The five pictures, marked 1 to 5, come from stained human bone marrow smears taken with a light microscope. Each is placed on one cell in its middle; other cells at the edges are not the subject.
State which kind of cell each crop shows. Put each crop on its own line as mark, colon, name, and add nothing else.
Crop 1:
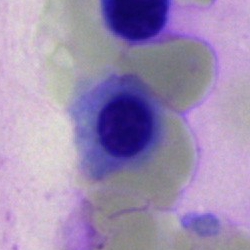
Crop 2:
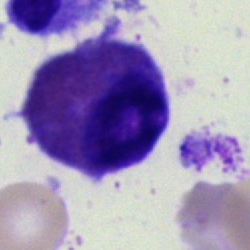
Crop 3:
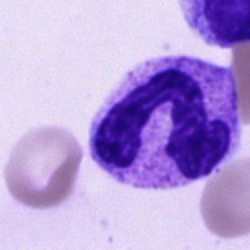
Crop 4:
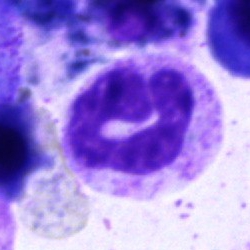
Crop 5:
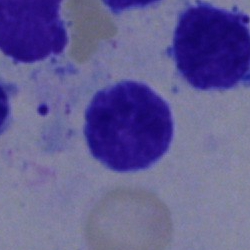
1: normoblast
2: eosinophil
3: band neutrophil
4: band neutrophil
5: lymphocyte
